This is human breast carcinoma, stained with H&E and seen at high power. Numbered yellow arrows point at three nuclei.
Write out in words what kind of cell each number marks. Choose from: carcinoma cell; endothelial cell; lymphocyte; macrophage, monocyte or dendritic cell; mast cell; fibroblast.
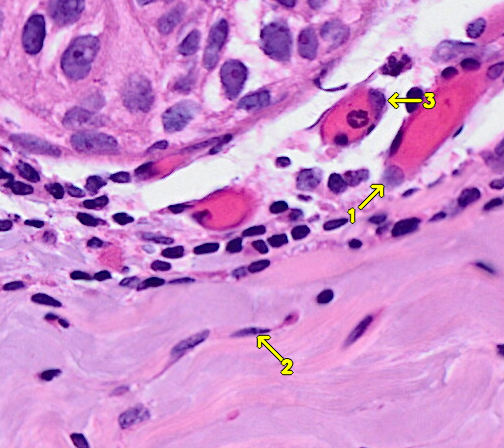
Cell 1 is an endothelial cell, cell 2 is a fibroblast and cell 3 is an endothelial cell.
